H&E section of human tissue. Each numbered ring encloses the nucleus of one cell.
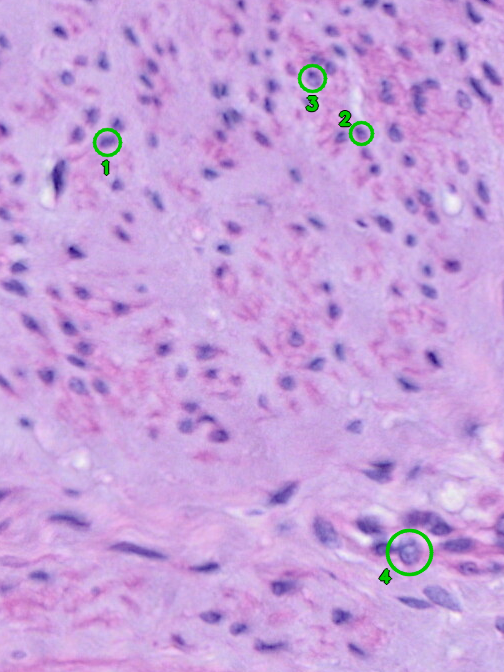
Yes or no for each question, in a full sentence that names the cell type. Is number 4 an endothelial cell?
Yes, cell number 4 is identified here as an endothelial cell.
